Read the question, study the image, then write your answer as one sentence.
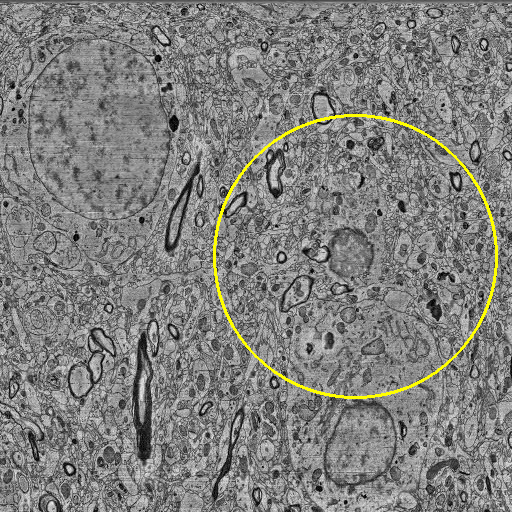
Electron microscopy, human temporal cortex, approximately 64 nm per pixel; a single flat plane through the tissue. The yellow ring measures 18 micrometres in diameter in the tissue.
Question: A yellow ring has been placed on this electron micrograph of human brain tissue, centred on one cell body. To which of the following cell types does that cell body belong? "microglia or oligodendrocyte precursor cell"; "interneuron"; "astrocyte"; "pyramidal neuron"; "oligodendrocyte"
That cell body belongs to an oligodendrocyte.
